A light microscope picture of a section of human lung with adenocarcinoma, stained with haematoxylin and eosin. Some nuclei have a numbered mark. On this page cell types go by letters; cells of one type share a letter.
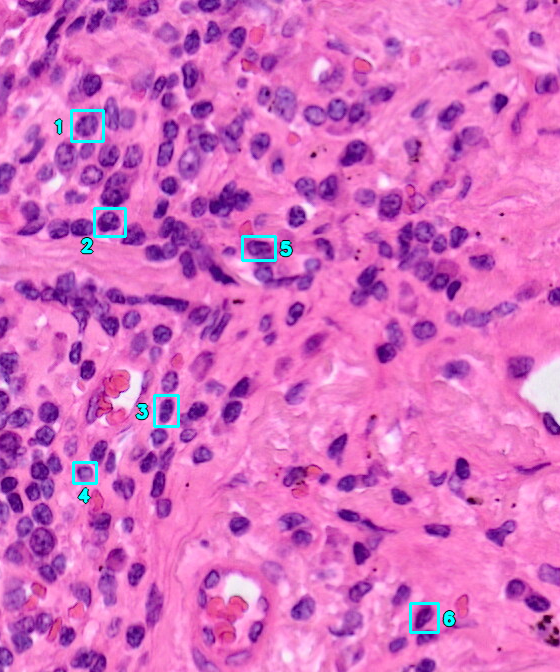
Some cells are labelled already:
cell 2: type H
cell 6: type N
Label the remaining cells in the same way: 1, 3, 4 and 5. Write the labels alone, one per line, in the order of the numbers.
type H
type H
type H
type N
